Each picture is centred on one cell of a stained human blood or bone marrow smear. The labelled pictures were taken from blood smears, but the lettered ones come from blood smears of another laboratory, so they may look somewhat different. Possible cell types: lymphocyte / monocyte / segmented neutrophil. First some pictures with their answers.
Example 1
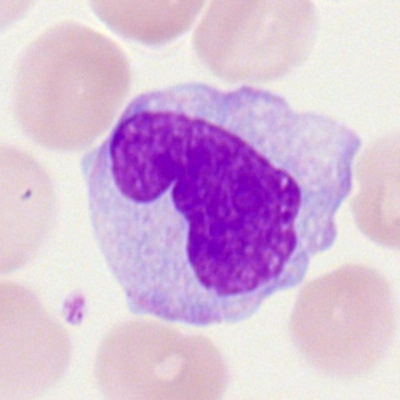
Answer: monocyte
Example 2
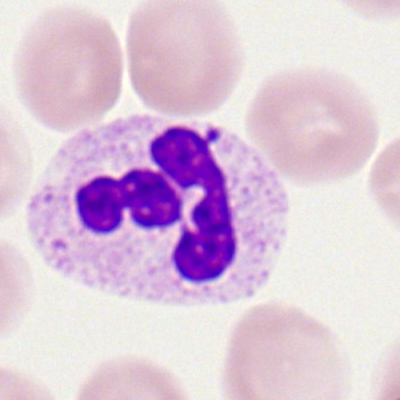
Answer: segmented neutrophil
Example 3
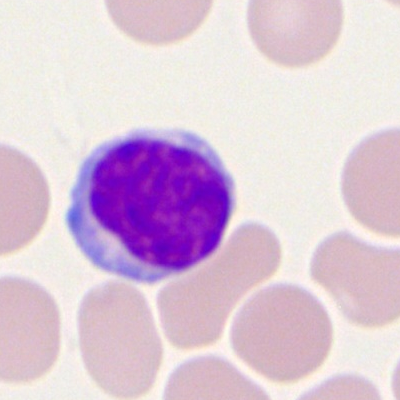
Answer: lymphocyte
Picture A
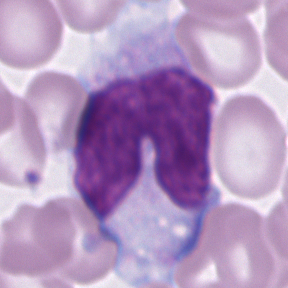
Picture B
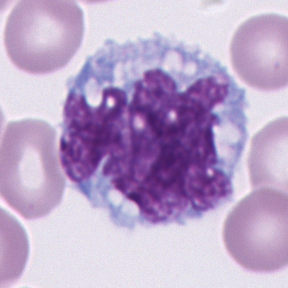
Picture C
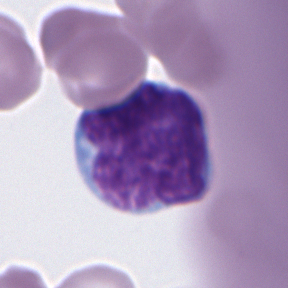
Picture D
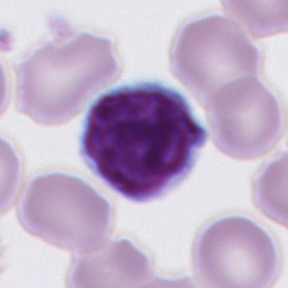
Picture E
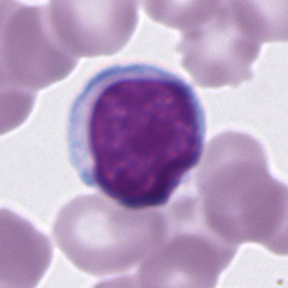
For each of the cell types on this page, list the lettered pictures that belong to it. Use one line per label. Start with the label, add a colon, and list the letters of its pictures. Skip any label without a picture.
lymphocyte: D, E
monocyte: A, B, C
